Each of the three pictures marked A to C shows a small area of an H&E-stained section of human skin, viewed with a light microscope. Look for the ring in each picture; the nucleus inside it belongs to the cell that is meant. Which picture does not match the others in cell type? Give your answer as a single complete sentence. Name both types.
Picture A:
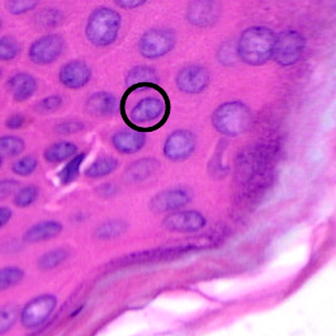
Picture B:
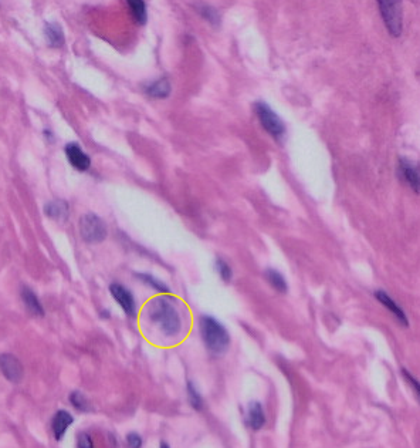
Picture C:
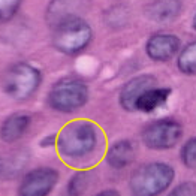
All pictures except B show suprabasal keratinocytes; picture B shows an endothelial cell.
